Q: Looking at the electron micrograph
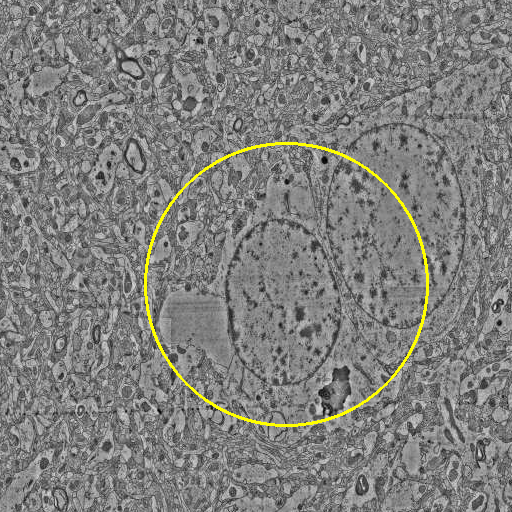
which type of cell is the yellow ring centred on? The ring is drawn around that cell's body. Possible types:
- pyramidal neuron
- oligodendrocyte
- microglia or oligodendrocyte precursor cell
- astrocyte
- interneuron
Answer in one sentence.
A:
The yellow ring is centred on an astrocyte.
